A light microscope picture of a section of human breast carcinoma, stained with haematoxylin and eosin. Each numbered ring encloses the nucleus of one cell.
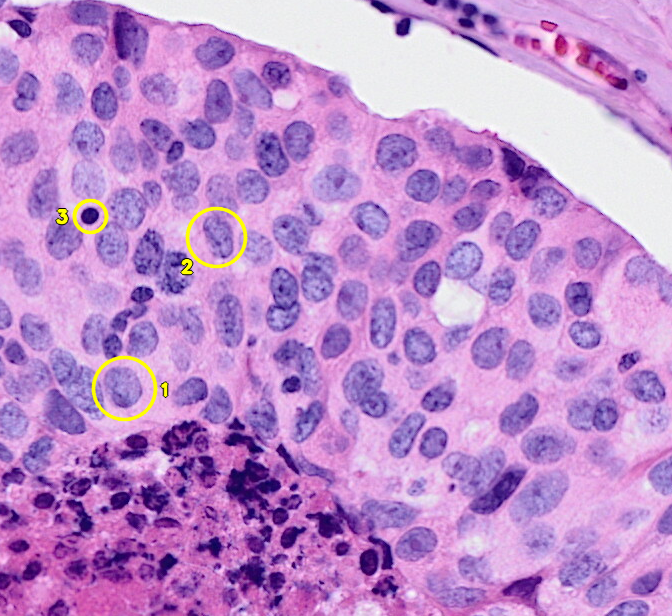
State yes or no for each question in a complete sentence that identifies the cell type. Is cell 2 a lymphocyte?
No, calling cell 2 a lymphocyte is a mistake; it is a carcinoma cell.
